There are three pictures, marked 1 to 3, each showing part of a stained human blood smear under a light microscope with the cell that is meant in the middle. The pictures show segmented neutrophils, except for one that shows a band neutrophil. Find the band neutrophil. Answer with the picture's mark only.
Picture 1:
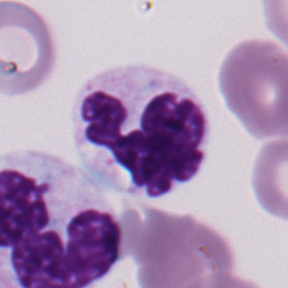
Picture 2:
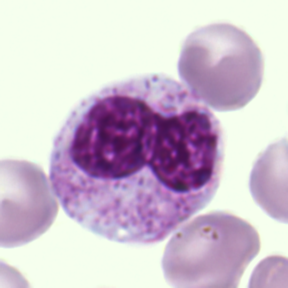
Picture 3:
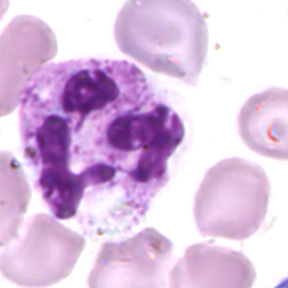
2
